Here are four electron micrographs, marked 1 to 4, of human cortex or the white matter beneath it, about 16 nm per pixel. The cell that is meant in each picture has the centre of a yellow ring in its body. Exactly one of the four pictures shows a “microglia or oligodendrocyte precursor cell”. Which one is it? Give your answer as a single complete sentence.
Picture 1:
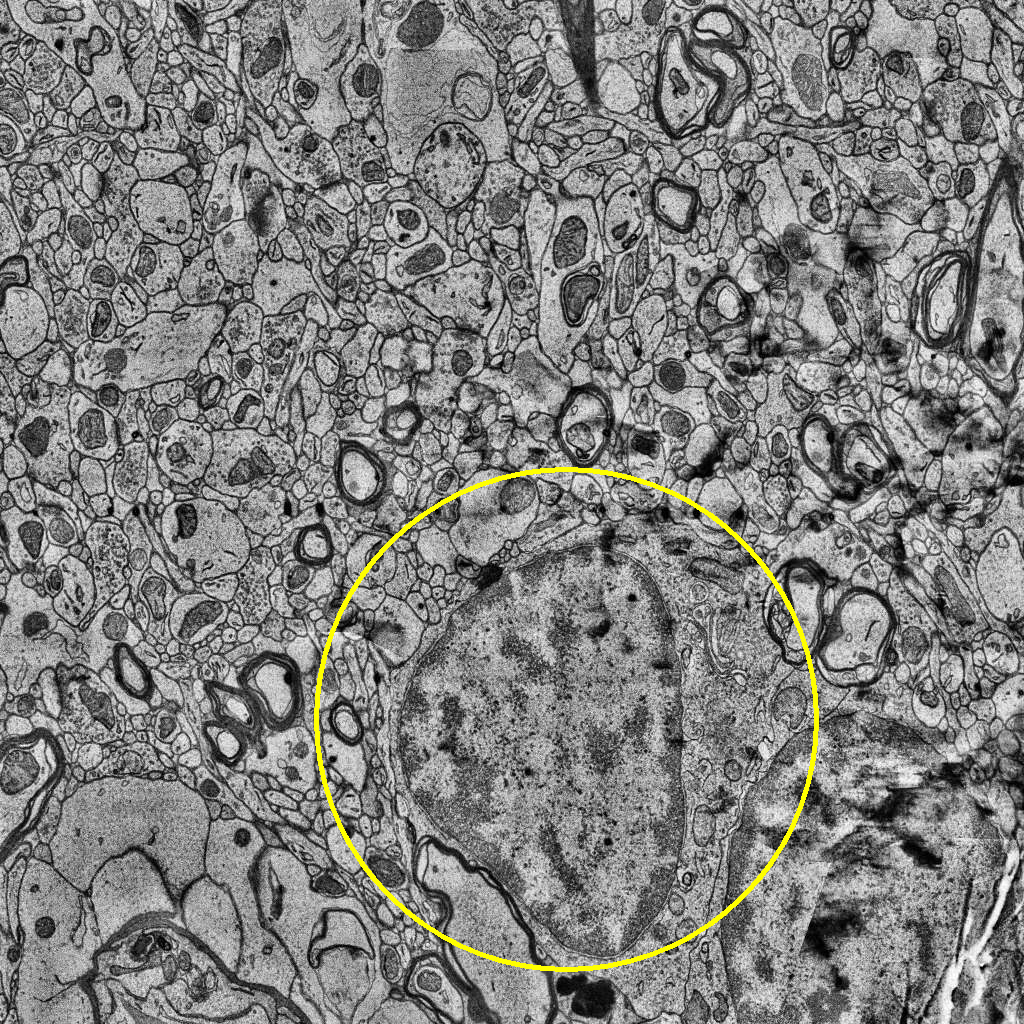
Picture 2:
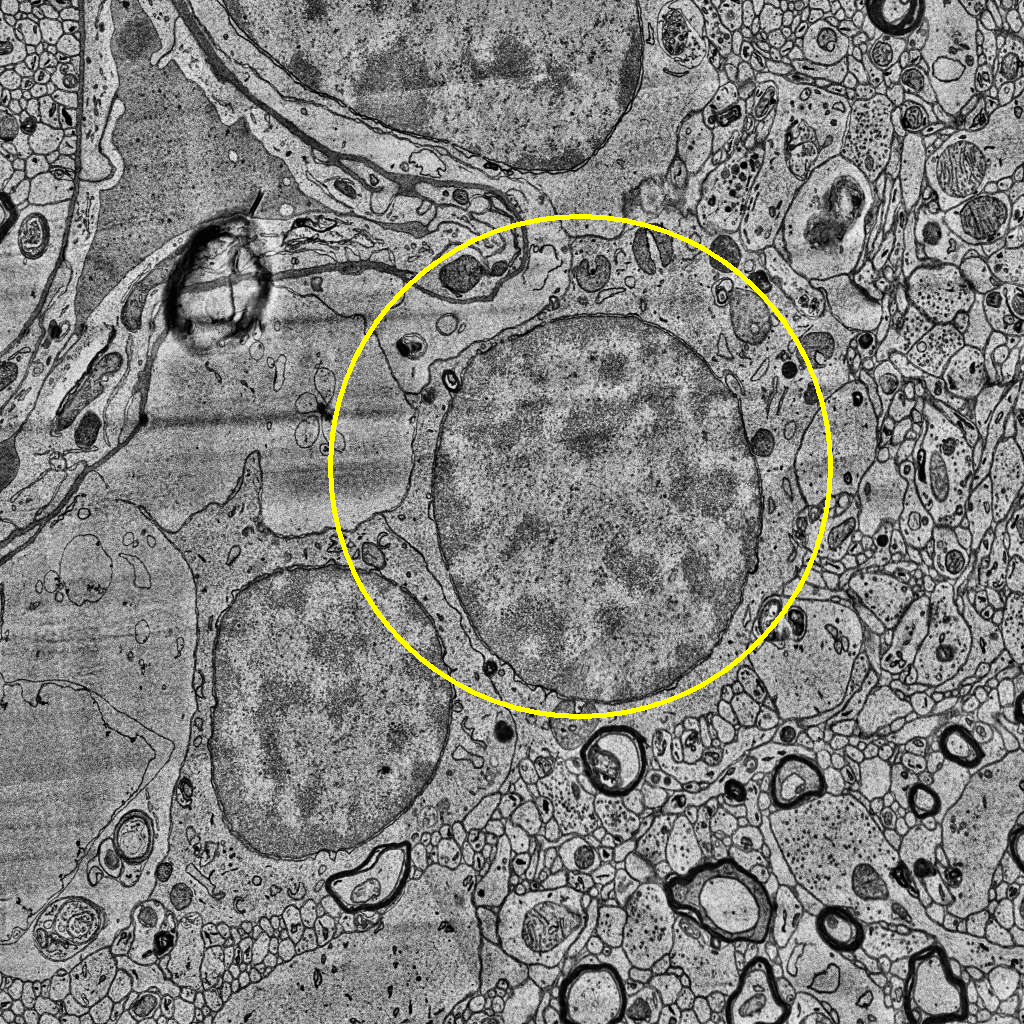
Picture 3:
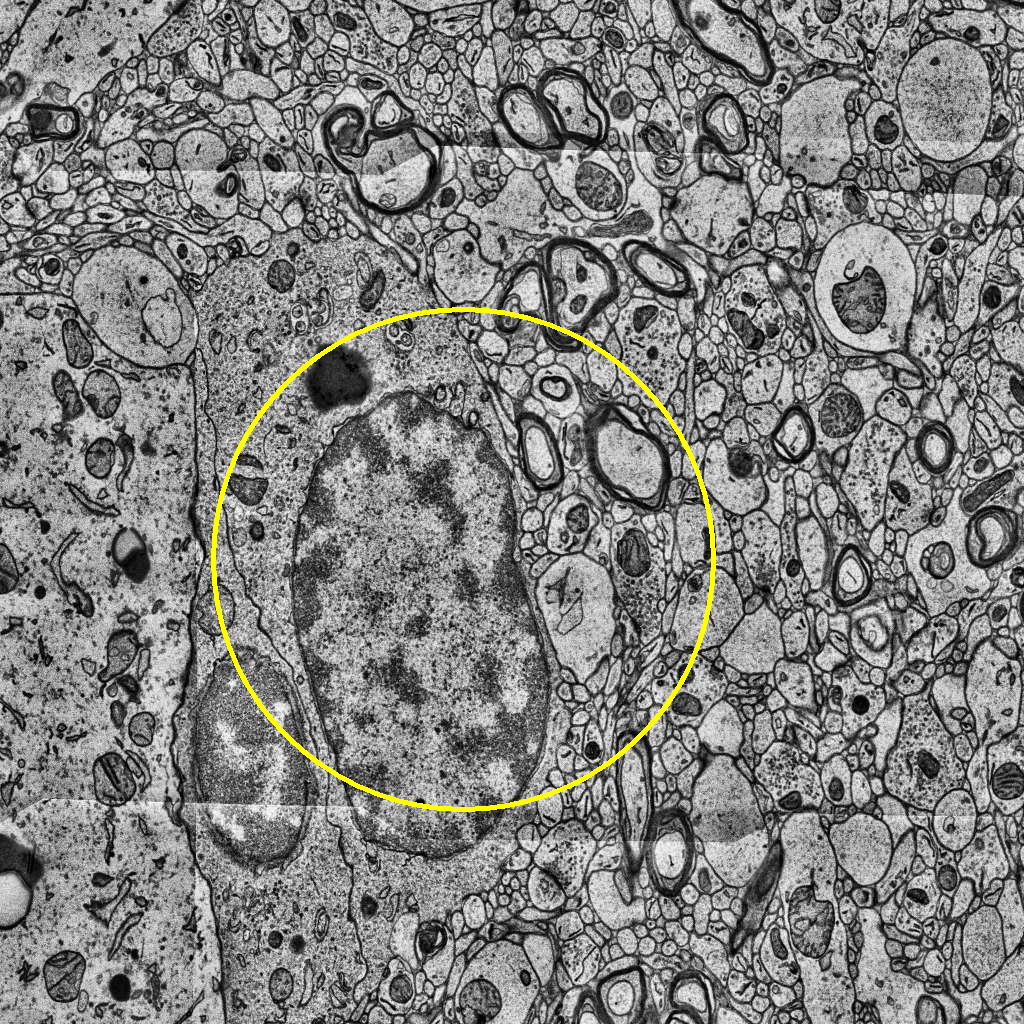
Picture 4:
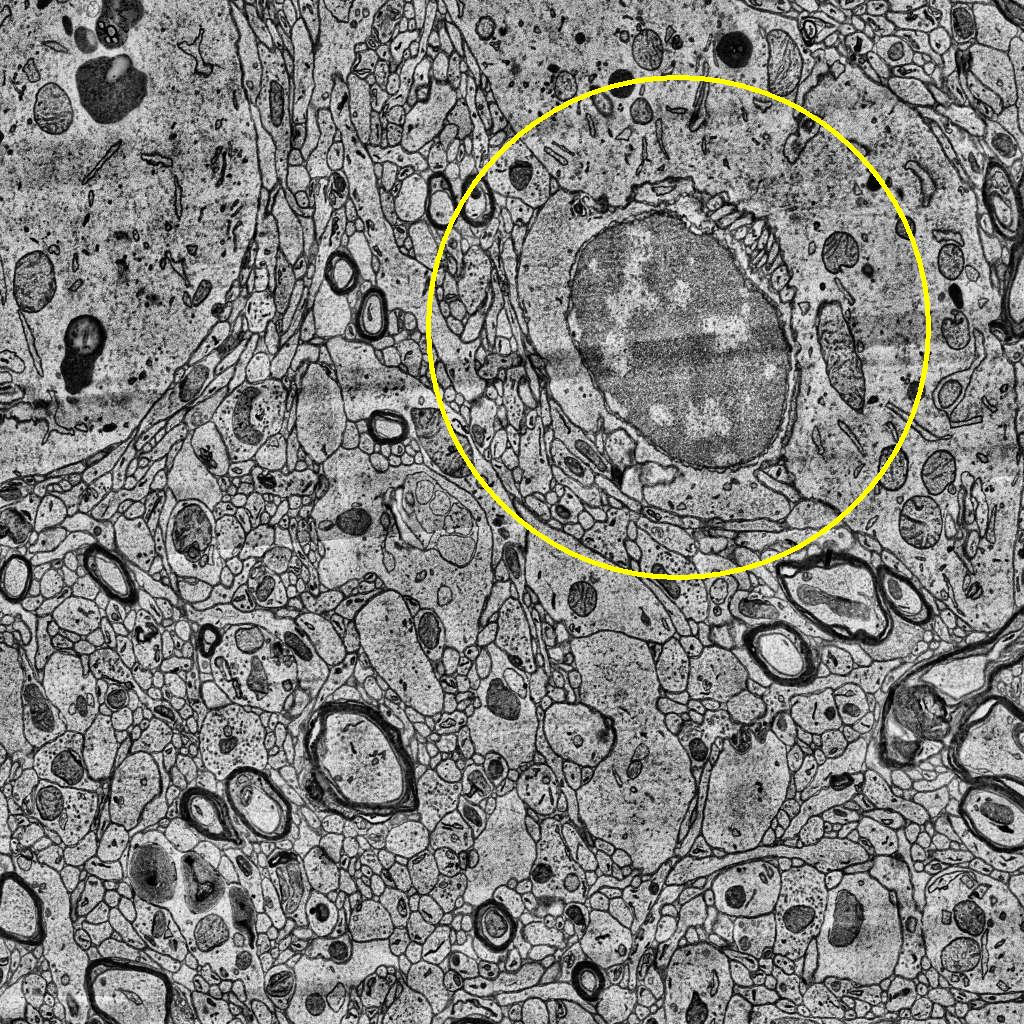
The “microglia or oligodendrocyte precursor cell” is the one in picture 4.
